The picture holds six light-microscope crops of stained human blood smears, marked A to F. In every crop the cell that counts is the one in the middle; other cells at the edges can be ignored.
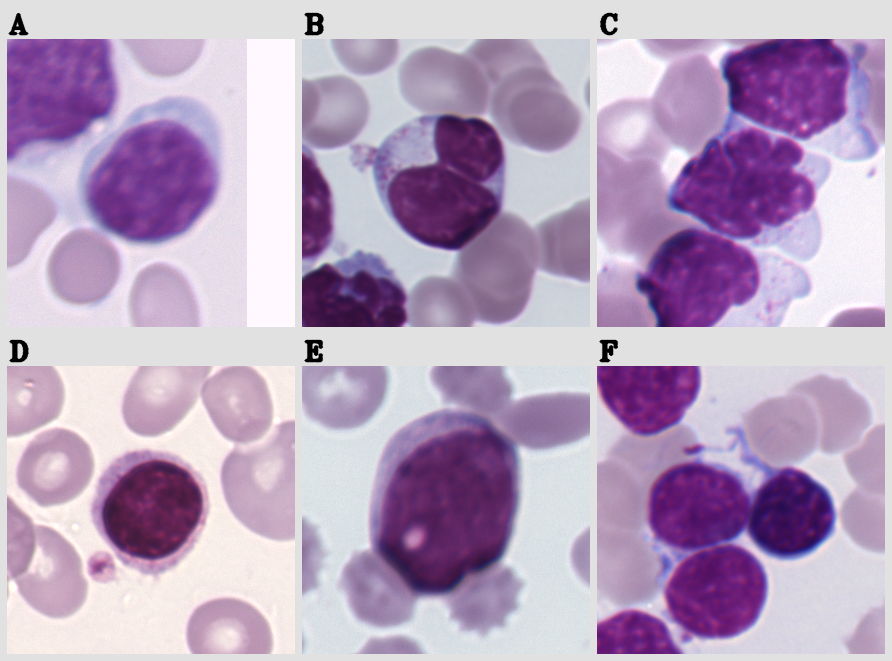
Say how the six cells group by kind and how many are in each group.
myeloblast: 3
large granular lymphocyte: 3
